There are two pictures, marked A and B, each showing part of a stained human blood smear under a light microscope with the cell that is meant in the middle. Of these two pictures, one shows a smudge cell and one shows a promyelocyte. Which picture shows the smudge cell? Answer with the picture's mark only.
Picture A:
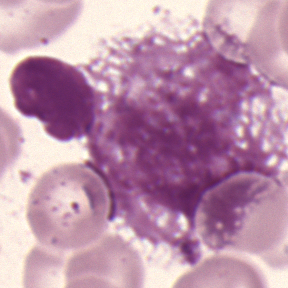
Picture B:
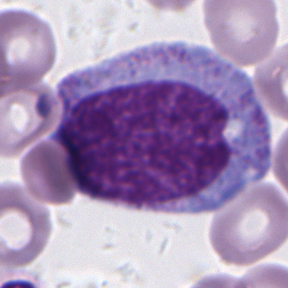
A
